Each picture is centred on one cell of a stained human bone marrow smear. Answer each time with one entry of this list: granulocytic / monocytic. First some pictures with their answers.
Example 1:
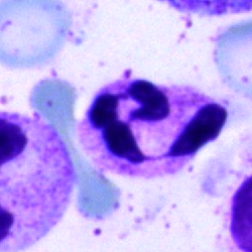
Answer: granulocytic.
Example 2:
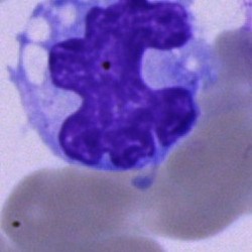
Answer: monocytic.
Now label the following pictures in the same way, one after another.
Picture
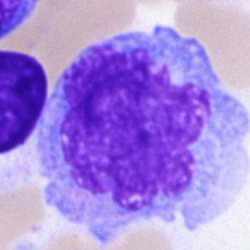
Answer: monocytic.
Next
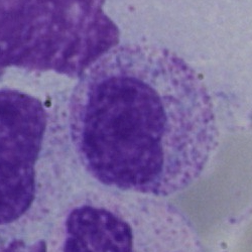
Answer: granulocytic.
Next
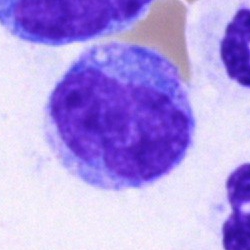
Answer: monocytic.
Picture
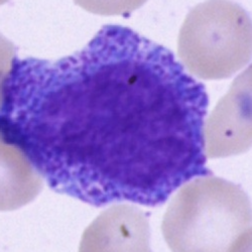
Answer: granulocytic.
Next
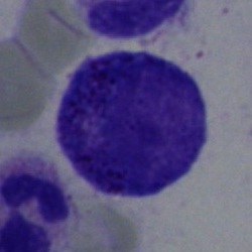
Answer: granulocytic.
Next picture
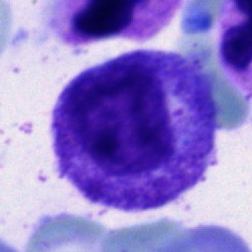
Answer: granulocytic.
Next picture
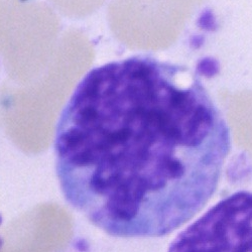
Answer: monocytic.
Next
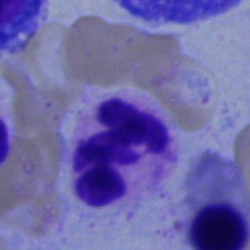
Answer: granulocytic.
